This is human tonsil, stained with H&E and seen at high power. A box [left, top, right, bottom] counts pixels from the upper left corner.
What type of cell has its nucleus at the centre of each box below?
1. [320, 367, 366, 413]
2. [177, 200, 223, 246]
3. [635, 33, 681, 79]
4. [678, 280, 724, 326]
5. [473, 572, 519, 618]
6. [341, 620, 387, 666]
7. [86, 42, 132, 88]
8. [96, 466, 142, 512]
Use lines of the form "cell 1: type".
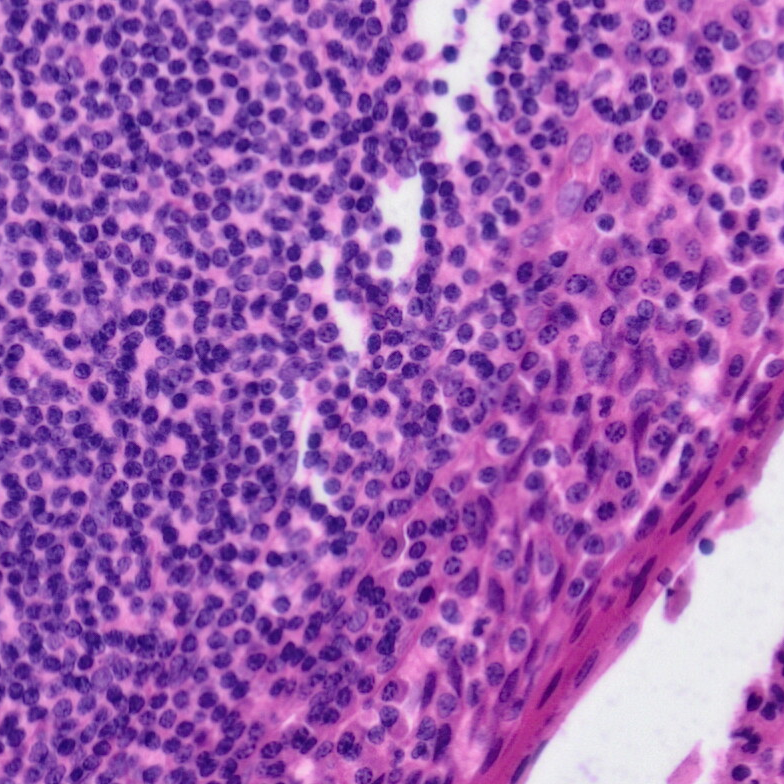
cell 1: small lymphocyte
cell 2: small lymphocyte
cell 3: plasma cell
cell 4: plasma cell
cell 5: squamous epithelial cell
cell 6: plasma cell
cell 7: small lymphocyte
cell 8: small lymphocyte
